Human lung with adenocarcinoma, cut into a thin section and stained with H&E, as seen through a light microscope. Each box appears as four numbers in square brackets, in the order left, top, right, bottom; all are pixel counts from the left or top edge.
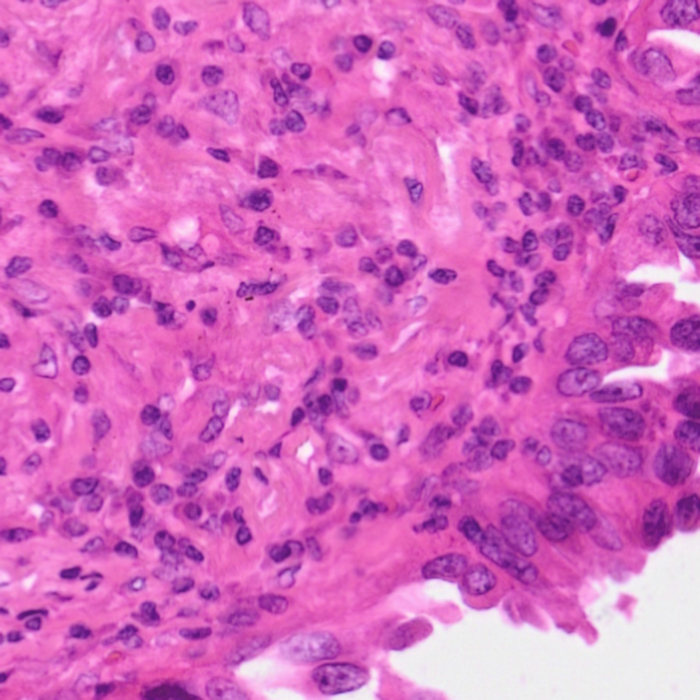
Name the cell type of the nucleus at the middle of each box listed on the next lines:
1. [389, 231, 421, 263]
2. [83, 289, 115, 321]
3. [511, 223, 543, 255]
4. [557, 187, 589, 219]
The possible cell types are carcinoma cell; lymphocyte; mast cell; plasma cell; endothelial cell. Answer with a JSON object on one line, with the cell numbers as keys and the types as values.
{"1": "lymphocyte", "2": "lymphocyte", "3": "lymphocyte", "4": "plasma cell"}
